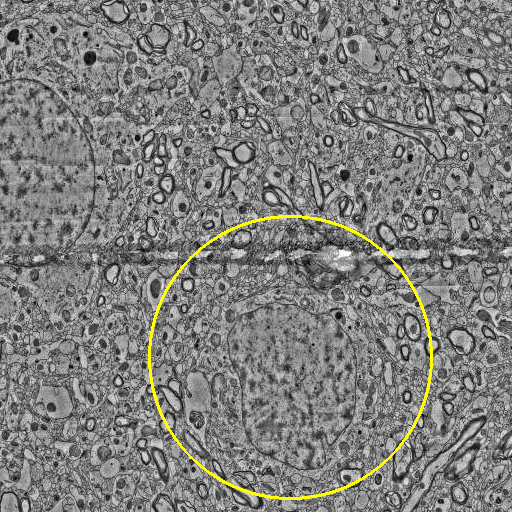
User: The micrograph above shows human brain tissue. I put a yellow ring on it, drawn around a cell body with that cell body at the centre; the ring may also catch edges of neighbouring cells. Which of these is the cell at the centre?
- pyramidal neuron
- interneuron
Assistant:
interneuron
